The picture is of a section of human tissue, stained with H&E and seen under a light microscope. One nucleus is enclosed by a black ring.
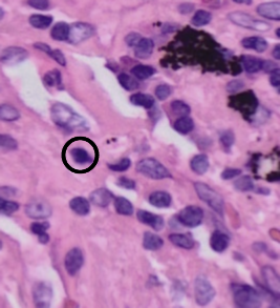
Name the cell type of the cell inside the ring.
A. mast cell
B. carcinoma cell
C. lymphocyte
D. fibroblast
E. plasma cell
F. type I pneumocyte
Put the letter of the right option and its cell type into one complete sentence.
Here the cell inside the ring is a lymphocyte; pick option C.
